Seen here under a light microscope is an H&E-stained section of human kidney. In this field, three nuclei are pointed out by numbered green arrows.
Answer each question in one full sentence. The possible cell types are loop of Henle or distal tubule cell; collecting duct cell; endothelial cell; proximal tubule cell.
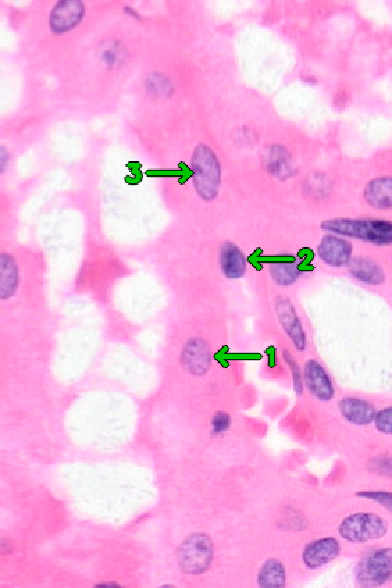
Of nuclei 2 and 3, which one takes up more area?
Number 3 is larger; its area is about 1.5 times that of number 2.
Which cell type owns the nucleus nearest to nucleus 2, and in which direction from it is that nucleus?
The closest nucleus belongs to a collecting duct cell and sits to the right of nucleus 2.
